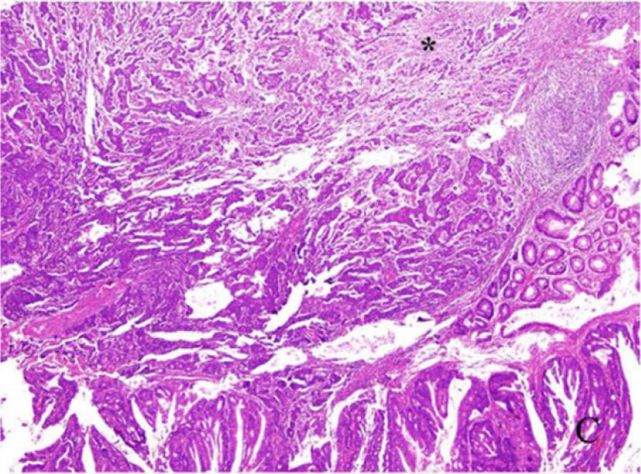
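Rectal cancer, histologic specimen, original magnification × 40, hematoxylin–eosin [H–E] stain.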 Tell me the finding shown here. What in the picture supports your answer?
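Densely packed purple glandular areas sit beside pale, sparsely cellular areas. Cell density varies across the tumour.
Answer: intratumoral heterogeneity in which high- and low cell density areas coexist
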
